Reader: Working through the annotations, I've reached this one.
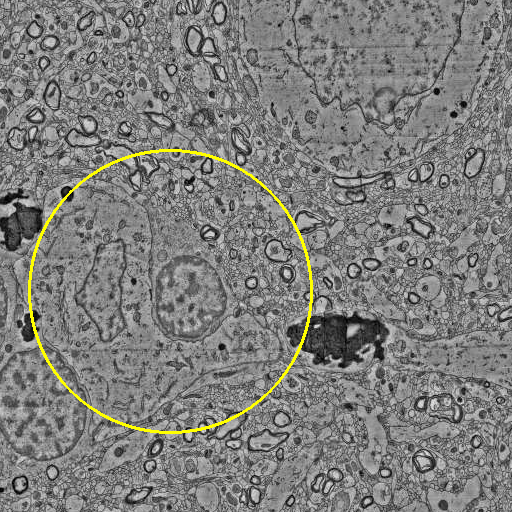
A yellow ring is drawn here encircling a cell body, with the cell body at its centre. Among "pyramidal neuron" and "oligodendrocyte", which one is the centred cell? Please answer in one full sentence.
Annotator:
The cell body at the centre of the yellow ring in this image belongs to an oligodendrocyte.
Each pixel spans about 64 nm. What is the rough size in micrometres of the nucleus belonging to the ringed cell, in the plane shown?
In this plane the nucleus measures roughly 5 by 4 micrometers.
